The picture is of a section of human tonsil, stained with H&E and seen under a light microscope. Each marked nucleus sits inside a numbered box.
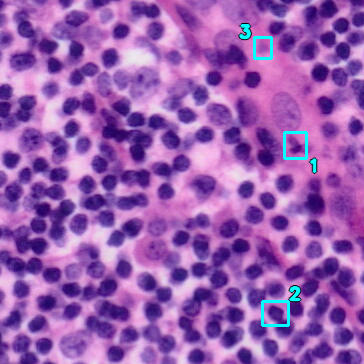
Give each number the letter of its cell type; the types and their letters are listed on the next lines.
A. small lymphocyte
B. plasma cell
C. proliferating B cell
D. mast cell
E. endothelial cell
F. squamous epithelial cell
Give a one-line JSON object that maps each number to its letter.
{"1": "E", "2": "A", "3": "E"}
